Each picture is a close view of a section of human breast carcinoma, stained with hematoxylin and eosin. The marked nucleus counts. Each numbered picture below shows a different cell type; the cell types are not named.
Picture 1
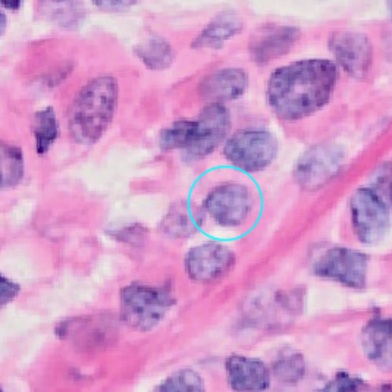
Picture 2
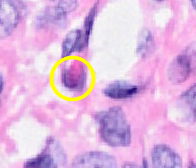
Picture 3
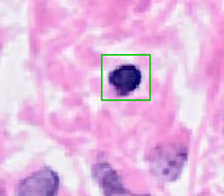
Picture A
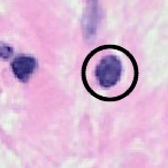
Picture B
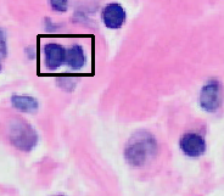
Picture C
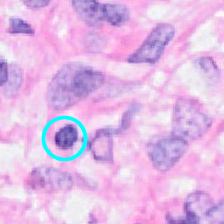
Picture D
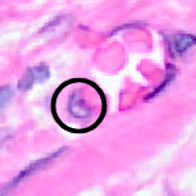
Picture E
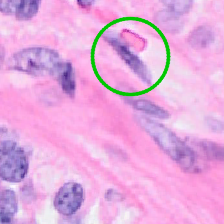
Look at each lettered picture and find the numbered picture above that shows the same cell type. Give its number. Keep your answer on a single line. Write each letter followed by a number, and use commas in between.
A 3, B 3, C 3, D 2, E 2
